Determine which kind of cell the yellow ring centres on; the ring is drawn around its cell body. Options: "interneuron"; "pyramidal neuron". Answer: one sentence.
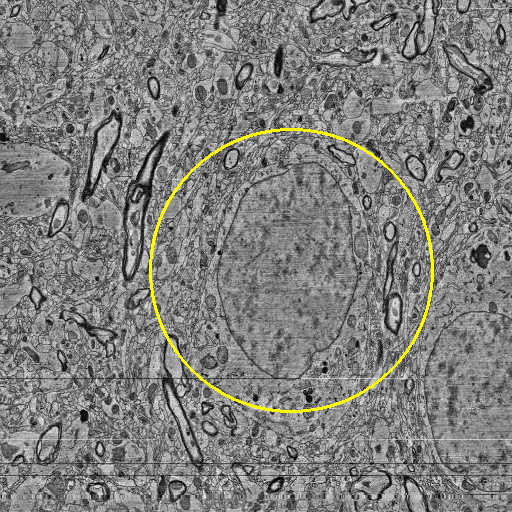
The ring centres on a pyramidal neuron.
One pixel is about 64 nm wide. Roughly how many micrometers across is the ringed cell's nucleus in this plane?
About 14 by 9 micrometers in this plane, so the nucleus is clearly longer than it is wide.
